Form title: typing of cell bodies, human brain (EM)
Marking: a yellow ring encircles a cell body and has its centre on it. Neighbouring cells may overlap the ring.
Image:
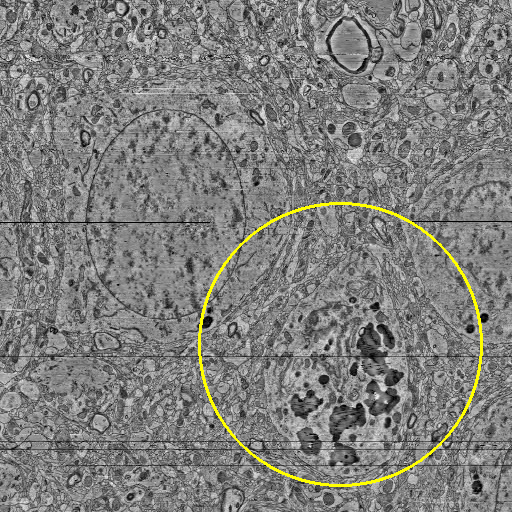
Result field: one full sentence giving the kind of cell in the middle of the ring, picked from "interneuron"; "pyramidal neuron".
In the picture, the ring is centred on an interneuron, whose cell body it encircles.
